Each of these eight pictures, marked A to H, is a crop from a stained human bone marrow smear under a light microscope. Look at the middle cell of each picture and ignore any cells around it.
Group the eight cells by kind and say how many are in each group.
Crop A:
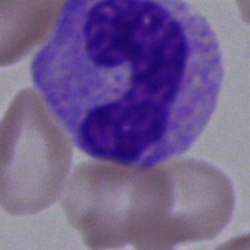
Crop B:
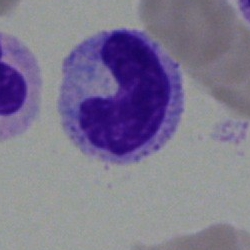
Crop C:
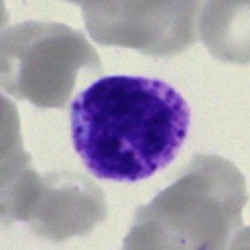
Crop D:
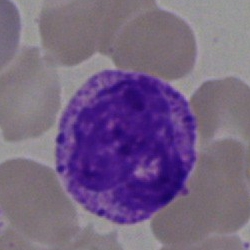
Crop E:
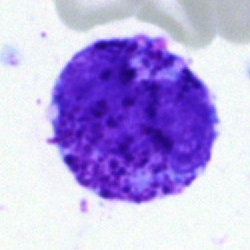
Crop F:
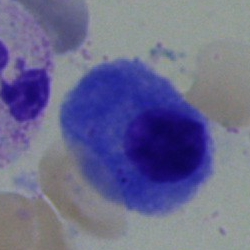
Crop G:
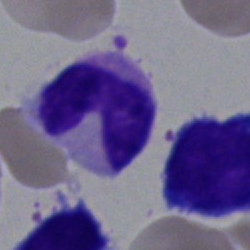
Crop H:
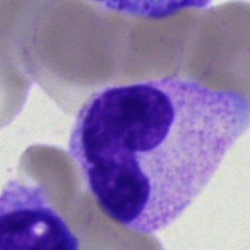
band neutrophil: 4
basophil: 3
plasma cell: 1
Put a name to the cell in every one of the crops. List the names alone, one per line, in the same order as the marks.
band neutrophil
band neutrophil
basophil
basophil
basophil
plasma cell
band neutrophil
band neutrophil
